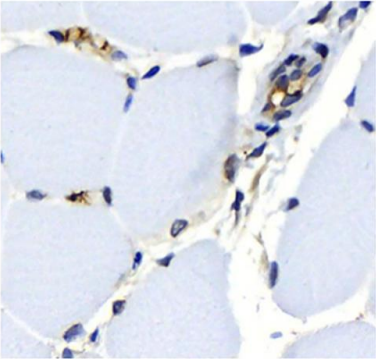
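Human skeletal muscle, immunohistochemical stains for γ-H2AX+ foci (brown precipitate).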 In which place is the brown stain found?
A: the nuclei outside myofibers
